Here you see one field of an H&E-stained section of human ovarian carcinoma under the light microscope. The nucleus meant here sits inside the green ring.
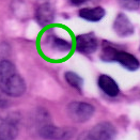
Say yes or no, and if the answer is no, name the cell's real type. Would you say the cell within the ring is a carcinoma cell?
Yes.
